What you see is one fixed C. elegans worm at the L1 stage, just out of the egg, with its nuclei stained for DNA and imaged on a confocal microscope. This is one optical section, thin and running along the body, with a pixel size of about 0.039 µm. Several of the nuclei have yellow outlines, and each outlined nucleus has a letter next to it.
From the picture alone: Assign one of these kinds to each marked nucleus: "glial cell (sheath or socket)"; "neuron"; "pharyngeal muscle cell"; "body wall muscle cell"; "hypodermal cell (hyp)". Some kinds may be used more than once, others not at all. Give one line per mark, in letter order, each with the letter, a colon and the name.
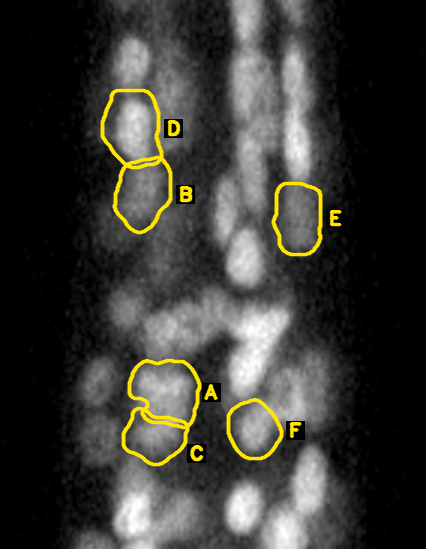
A: pharyngeal muscle cell
B: body wall muscle cell
C: neuron
D: glial cell (sheath or socket)
E: body wall muscle cell
F: neuron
